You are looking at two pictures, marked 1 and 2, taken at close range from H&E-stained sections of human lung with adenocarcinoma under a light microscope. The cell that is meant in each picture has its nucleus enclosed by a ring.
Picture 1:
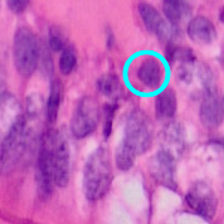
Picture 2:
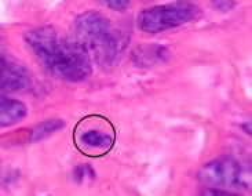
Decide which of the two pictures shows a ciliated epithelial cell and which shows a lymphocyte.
1: ciliated epithelial cell
2: lymphocyte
